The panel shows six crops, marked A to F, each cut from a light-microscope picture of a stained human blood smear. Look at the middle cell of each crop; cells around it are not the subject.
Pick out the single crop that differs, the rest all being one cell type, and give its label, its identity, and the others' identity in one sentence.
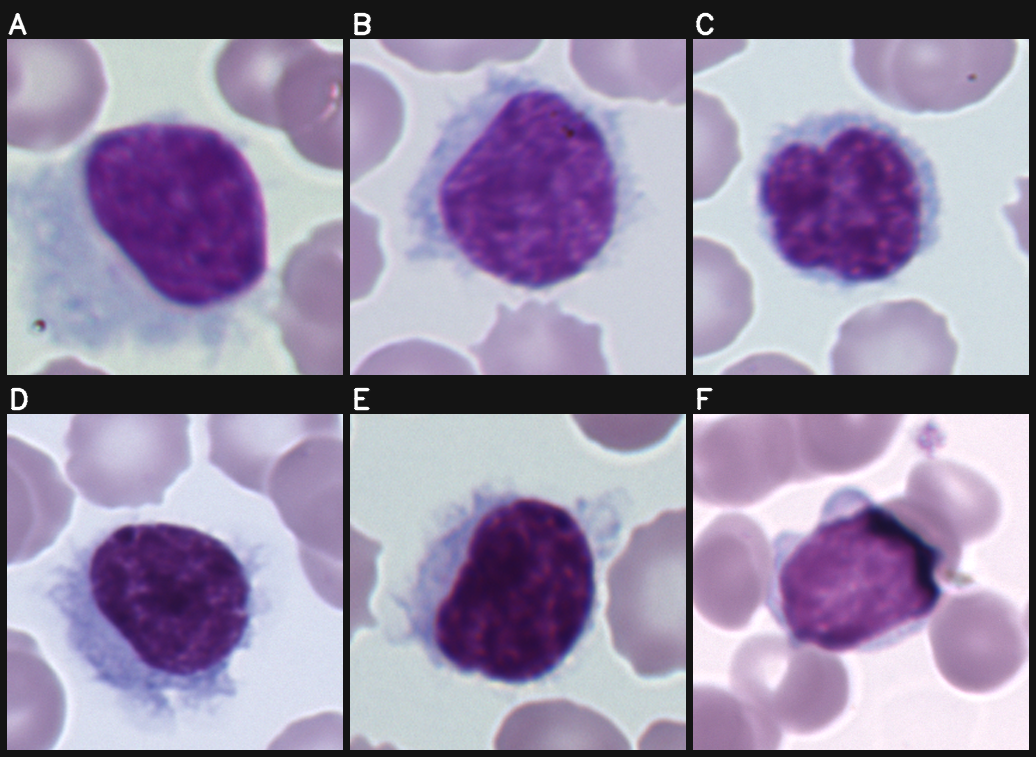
The different crop is F; it is a large granular lymphocyte, and the others all show hairy cells.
